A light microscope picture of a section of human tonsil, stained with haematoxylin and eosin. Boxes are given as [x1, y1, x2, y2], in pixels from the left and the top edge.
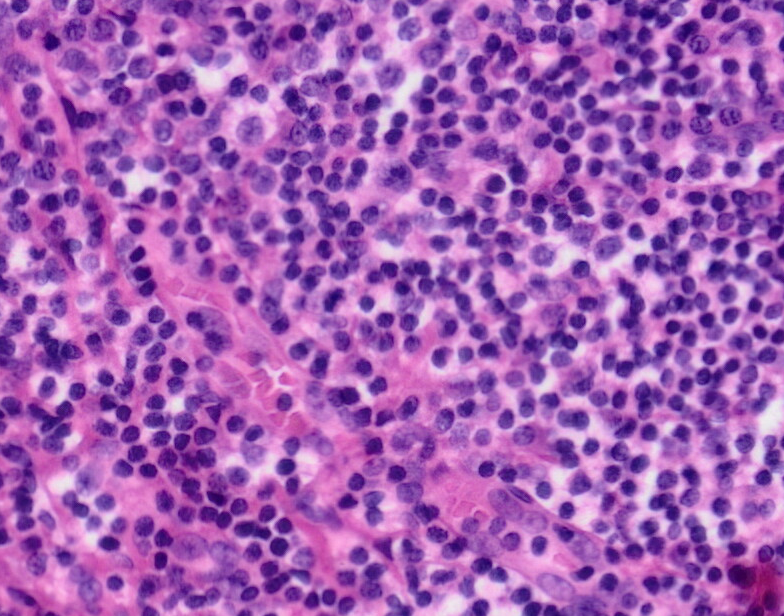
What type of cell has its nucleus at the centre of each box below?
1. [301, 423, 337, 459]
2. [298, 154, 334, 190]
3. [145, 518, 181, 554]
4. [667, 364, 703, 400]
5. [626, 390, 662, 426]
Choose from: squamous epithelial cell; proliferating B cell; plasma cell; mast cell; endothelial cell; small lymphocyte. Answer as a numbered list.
1. endothelial cell
2. small lymphocyte
3. endothelial cell
4. small lymphocyte
5. small lymphocyte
